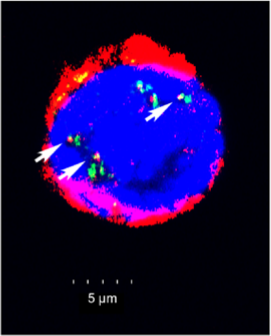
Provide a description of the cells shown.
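This is a single rounded cell in which a large blue nucleus takes up most of the cell's volume. The red stain forms a thick, uneven band at the cell's outer edge, with little cytoplasm lying between it and the nucleus. Small green dots lie in clusters inside the blue nucleus, and where some of them overlap with red they appear as bright yellowish-white points, marked by white arrows.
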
